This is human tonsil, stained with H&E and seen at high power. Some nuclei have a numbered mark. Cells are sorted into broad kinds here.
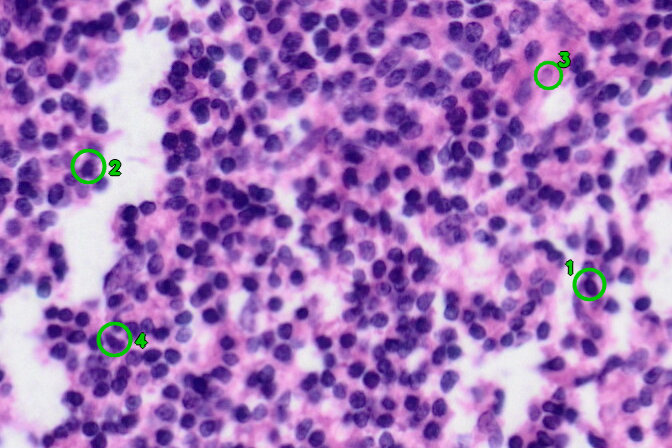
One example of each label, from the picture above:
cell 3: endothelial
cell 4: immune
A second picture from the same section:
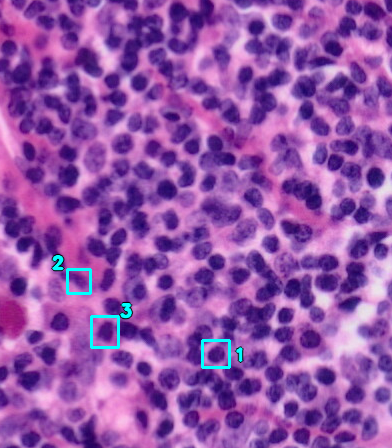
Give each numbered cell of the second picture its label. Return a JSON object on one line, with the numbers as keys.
{"1": "immune", "2": "endothelial", "3": "endothelial"}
